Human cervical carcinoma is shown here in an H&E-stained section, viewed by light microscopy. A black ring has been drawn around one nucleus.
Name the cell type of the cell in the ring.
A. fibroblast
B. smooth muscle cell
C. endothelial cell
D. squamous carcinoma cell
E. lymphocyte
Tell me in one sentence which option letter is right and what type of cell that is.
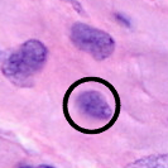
Option A is correct here; the cell in the ring is a fibroblast.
